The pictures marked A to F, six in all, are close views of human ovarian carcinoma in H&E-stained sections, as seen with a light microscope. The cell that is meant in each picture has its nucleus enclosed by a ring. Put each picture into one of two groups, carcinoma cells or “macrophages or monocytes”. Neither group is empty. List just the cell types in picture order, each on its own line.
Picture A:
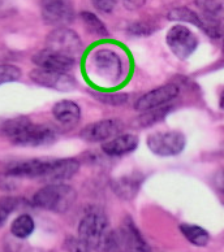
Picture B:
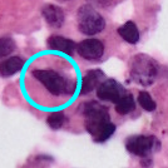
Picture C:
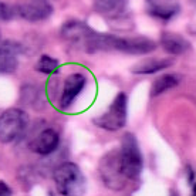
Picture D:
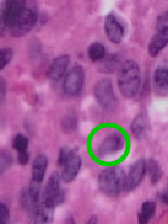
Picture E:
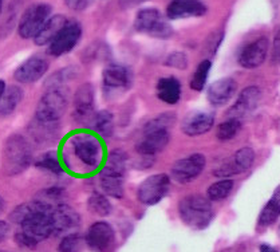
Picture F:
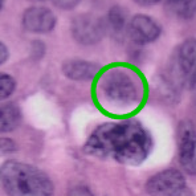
macrophage or monocyte
macrophage or monocyte
macrophage or monocyte
carcinoma cell
carcinoma cell
carcinoma cell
